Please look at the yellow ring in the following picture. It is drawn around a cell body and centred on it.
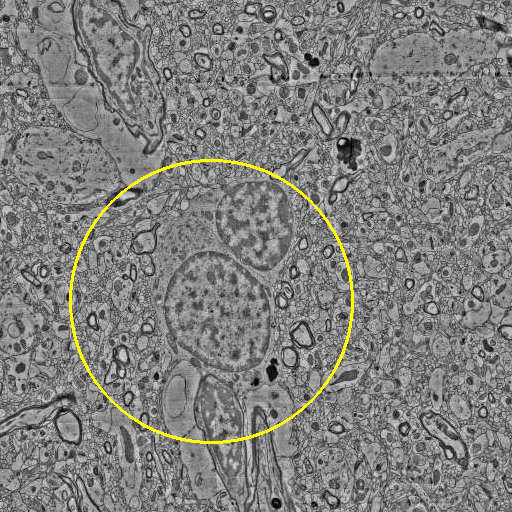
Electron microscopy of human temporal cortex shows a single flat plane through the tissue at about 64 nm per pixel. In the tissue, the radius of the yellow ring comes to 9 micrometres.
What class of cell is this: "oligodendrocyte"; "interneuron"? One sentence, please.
The ring surrounds the cell body of an oligodendrocyte.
